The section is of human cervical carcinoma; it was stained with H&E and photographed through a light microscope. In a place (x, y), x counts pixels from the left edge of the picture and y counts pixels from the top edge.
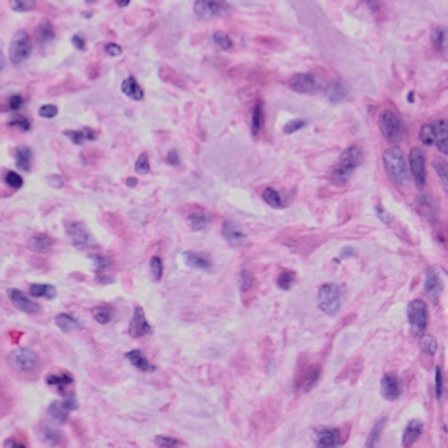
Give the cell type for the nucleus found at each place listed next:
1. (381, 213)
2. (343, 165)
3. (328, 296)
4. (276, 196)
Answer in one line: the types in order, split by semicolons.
fibroblast; fibroblast; fibroblast; macrophage or monocyte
